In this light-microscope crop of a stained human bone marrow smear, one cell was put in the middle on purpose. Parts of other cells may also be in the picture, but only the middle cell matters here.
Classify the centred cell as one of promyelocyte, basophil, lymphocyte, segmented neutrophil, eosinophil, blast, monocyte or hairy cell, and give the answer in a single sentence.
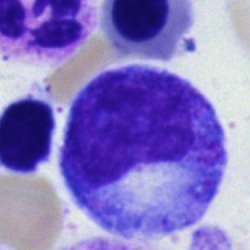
In short, the cell at the center is a promyelocyte.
